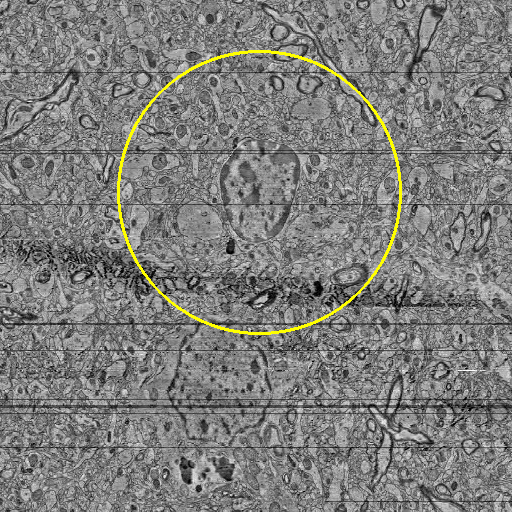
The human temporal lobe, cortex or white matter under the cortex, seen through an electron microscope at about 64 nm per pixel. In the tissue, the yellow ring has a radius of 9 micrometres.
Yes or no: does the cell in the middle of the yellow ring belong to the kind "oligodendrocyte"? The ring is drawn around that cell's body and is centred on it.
no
